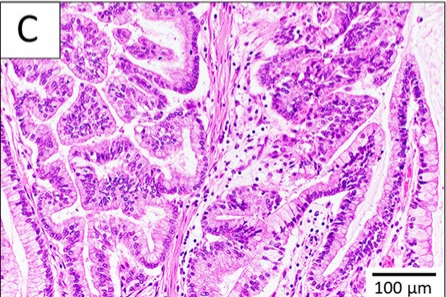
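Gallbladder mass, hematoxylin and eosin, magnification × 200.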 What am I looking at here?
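Papillary fronds lined by tall columnar epithelial cells with crowded, elongated, dark purple nuclei form branching, folded structures. Thin cores of pale pink connective tissue run within the fronds, and some columnar cells at the right edge have pale, clear cytoplasm above basally placed nuclei.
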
